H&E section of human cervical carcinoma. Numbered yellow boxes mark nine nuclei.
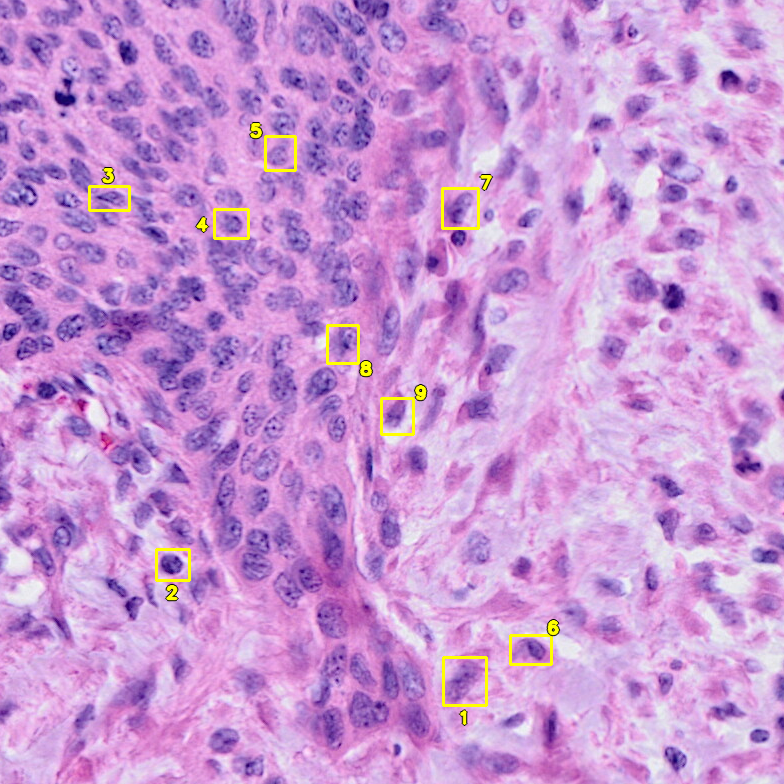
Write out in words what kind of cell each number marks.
Cell 1 is a fibroblast, cell 2 is a lymphocyte, cell 3 is a squamous carcinoma cell, cell 4 is a squamous carcinoma cell, cell 5 is a squamous carcinoma cell, cell 6 is a macrophage or monocyte, cell 7 is a macrophage or monocyte, cell 8 is a squamous carcinoma cell and cell 9 is a macrophage or monocyte.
